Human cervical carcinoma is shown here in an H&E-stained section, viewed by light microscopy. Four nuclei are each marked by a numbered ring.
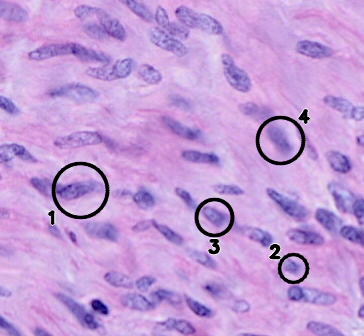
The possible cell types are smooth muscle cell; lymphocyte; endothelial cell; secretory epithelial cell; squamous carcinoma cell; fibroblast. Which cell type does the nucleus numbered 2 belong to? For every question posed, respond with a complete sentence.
The nucleus labelled 2 belongs to a smooth muscle cell.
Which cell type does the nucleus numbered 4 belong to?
Cell 4 is classified as a fibroblast.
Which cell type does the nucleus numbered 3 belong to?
Here the cell numbered 3 is a smooth muscle cell.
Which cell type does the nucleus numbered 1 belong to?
The cell marked with number 1 is a smooth muscle cell.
